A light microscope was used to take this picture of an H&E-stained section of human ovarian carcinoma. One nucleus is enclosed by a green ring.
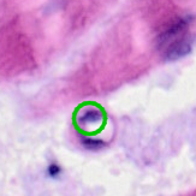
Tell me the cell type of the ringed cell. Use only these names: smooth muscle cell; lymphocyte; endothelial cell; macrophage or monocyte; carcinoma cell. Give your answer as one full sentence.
By cell type, the ringed cell is an endothelial cell.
